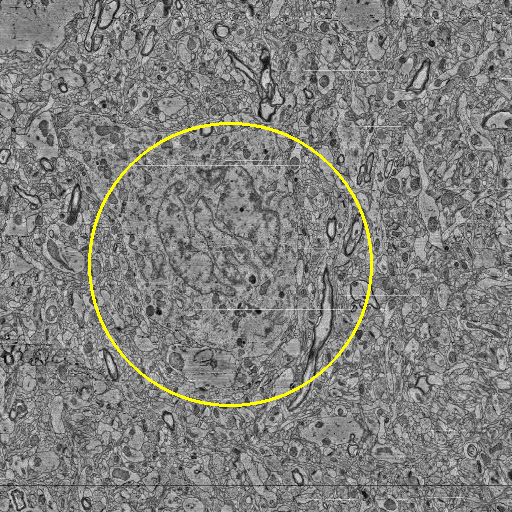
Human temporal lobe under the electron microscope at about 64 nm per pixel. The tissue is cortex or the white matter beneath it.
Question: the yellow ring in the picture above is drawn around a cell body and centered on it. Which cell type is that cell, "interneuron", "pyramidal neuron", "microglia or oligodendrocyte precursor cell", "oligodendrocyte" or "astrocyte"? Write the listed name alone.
interneuron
